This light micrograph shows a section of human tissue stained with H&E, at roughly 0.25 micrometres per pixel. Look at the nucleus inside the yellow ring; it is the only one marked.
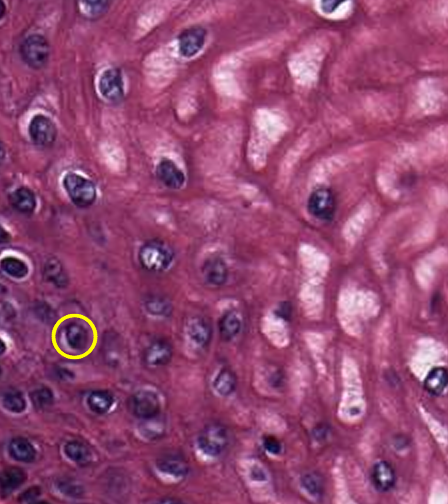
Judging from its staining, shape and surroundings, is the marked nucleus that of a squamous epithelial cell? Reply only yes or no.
yes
